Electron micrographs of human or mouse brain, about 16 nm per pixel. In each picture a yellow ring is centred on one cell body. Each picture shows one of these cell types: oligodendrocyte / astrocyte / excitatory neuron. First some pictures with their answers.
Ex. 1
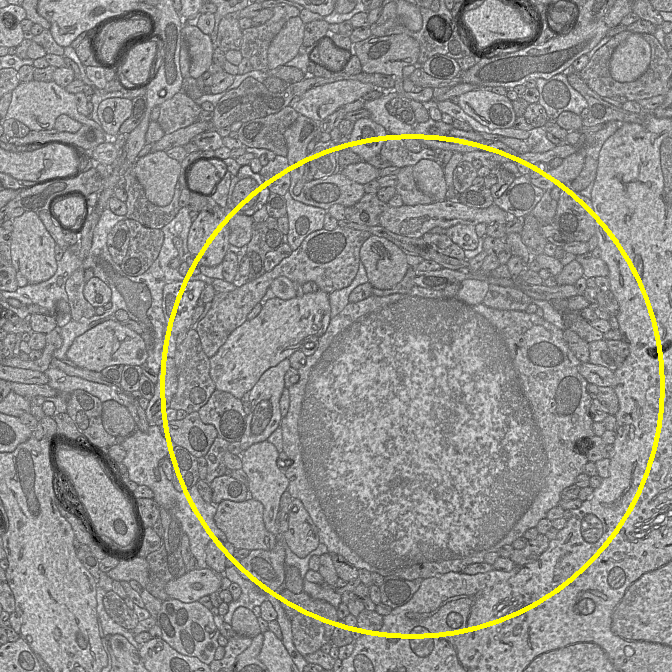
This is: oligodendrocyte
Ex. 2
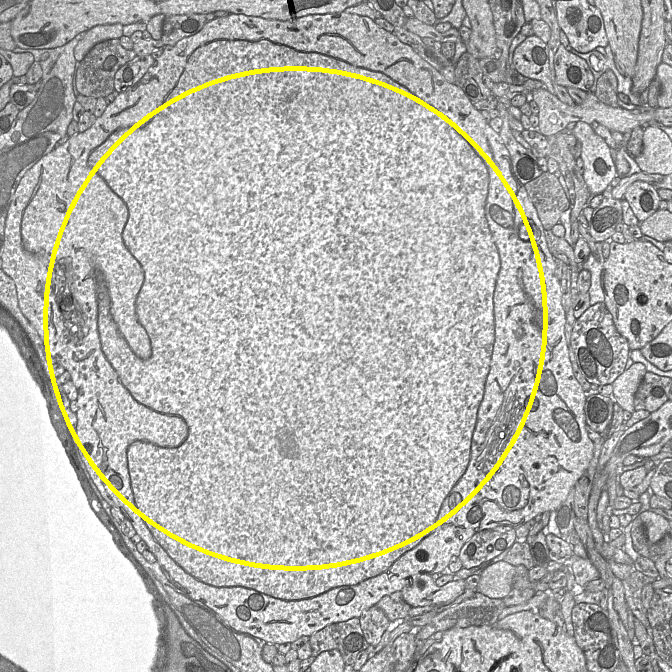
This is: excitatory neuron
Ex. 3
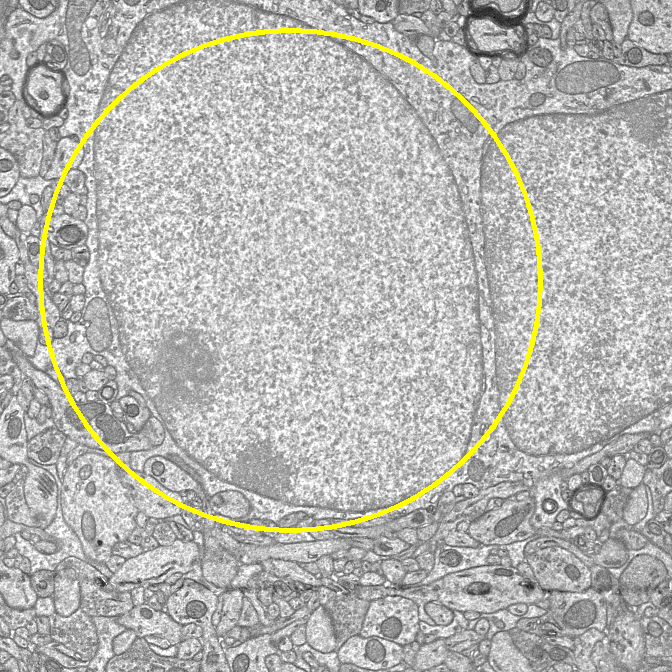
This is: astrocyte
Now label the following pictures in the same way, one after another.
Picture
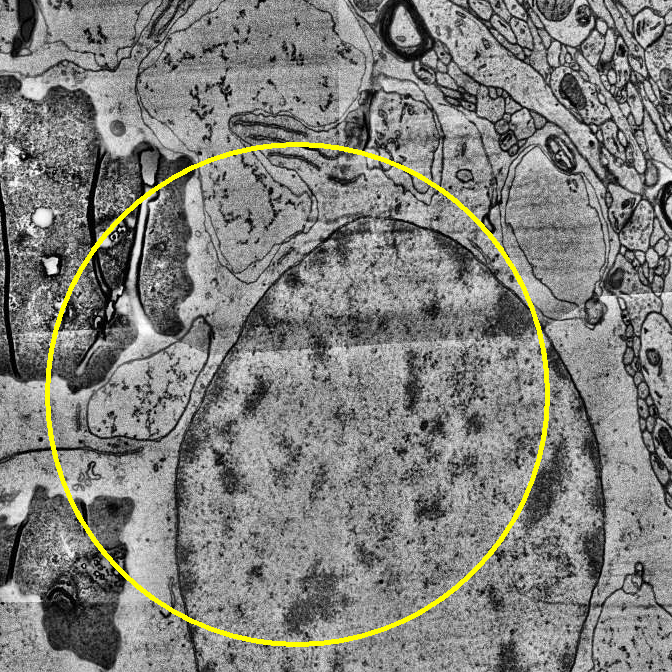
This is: astrocyte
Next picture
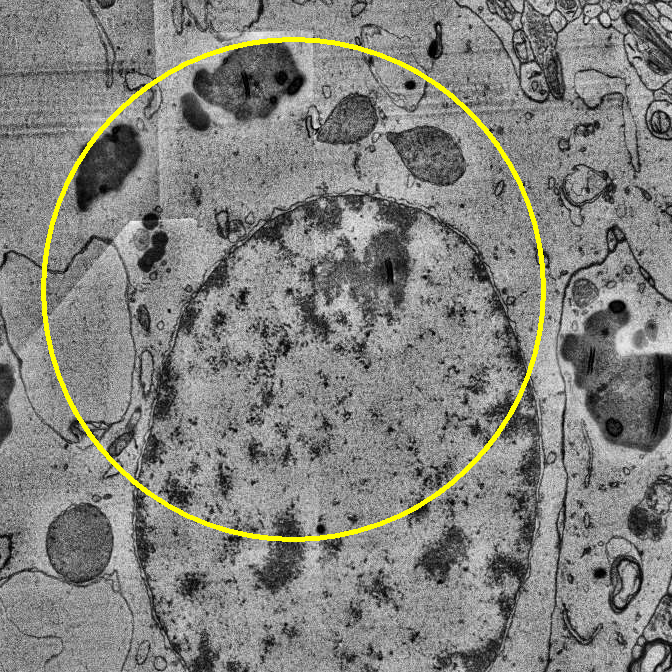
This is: astrocyte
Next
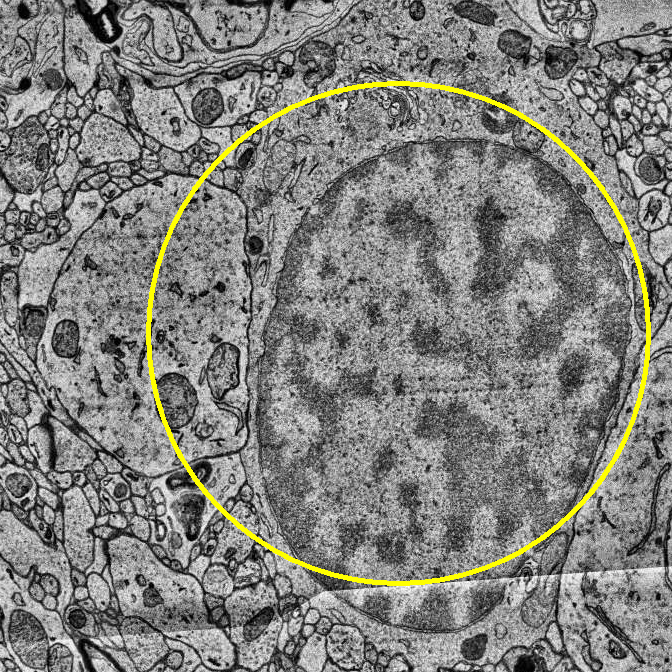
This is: oligodendrocyte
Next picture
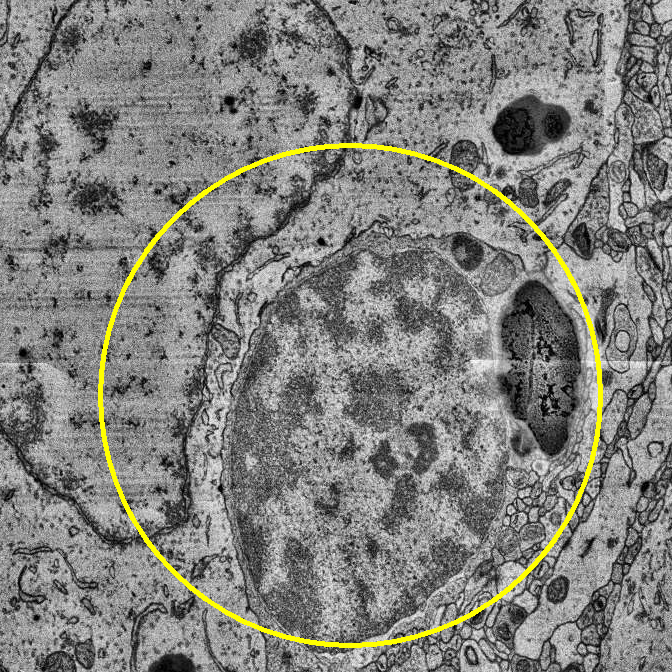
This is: oligodendrocyte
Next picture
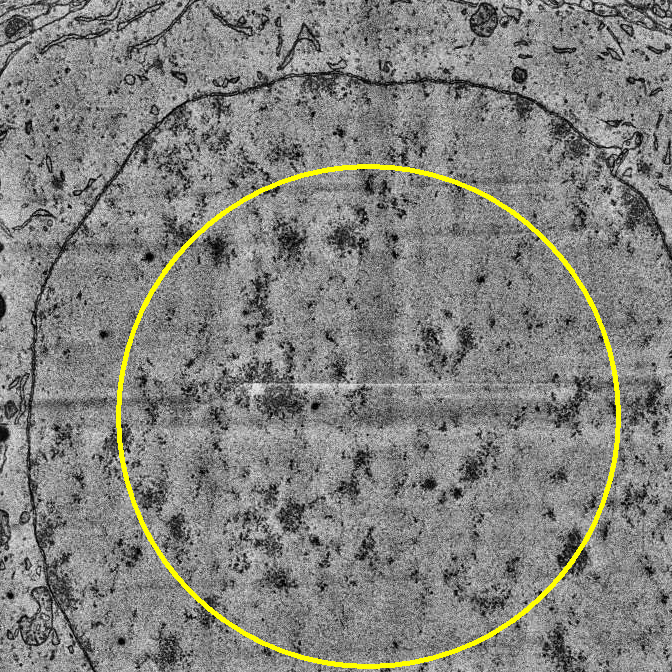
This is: excitatory neuron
